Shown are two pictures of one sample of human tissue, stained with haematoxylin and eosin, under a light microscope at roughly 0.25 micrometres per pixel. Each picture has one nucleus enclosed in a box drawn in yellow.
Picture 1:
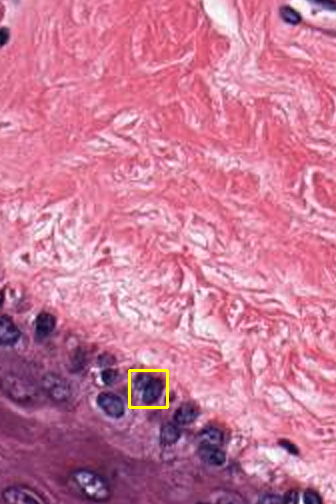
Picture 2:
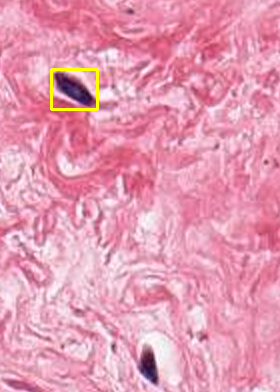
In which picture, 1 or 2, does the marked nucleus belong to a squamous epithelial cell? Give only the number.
1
